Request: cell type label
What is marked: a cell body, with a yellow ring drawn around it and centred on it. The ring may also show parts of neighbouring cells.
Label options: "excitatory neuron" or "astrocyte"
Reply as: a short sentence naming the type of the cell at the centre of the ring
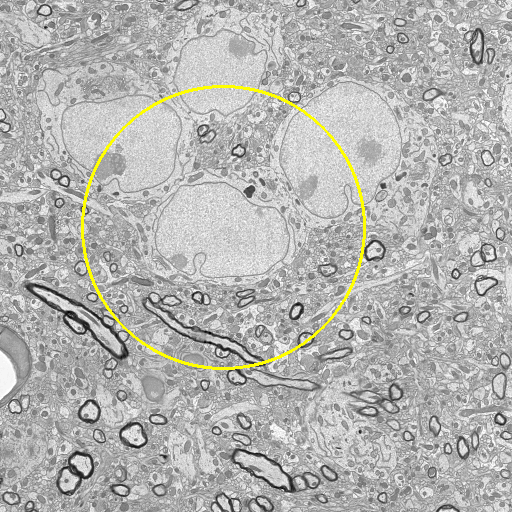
The marked cell body is that of an excitatory neuron.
